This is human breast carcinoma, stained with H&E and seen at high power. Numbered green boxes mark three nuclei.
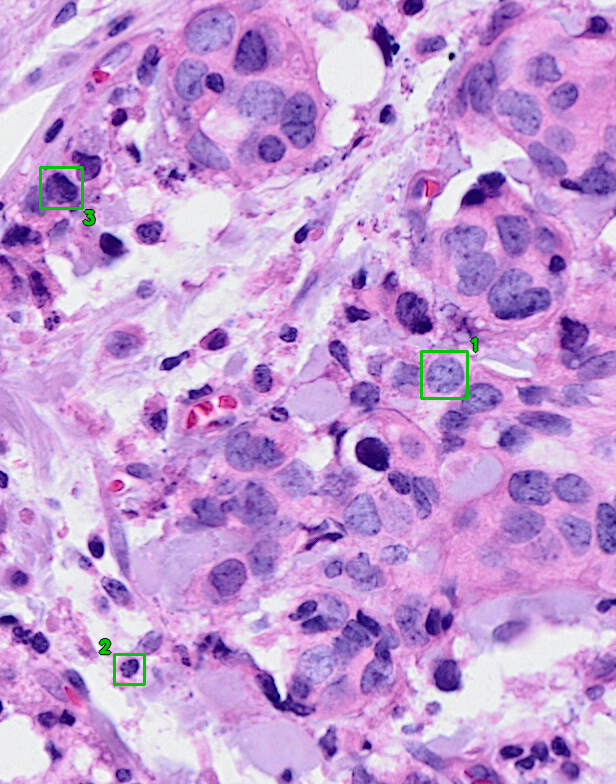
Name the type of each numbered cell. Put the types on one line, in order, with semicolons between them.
carcinoma cell; lymphocyte; carcinoma cell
